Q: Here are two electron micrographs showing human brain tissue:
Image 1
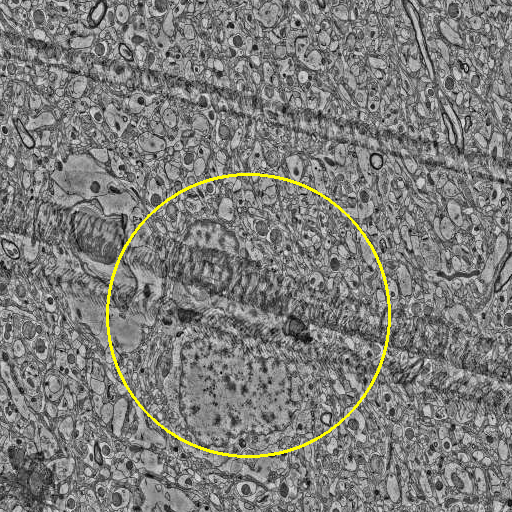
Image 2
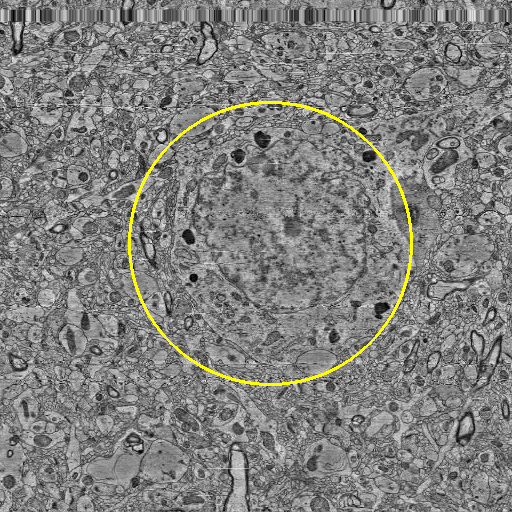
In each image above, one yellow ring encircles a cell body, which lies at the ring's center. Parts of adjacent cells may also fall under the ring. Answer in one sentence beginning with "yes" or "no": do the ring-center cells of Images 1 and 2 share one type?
No, in Images 1 and 2, the ring-center cells are of two types.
